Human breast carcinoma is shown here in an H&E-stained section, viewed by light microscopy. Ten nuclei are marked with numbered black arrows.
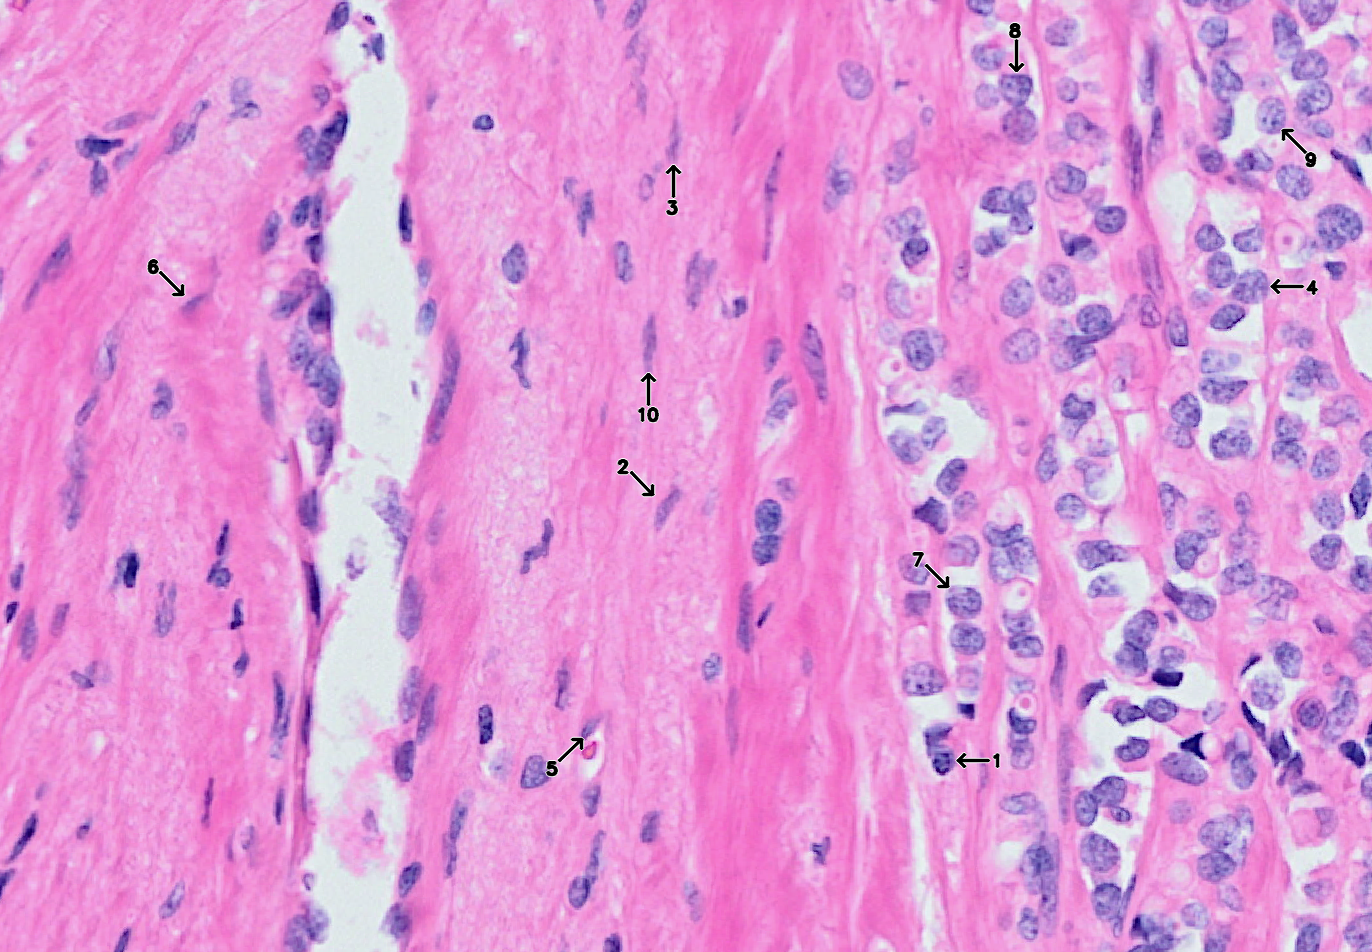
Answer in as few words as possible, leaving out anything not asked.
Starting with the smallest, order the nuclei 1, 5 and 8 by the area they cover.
5, 1, 8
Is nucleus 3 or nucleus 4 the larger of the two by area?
4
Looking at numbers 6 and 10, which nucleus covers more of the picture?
10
